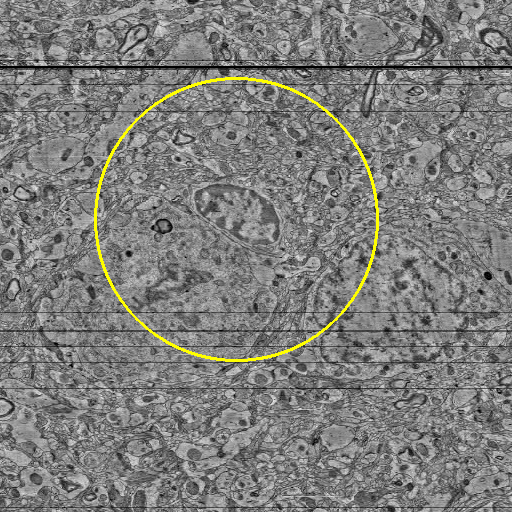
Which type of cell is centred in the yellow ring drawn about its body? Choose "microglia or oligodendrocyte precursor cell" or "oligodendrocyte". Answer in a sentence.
The yellow ring surrounds the cell body of a microglial cell or oligodendrocyte precursor cell.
